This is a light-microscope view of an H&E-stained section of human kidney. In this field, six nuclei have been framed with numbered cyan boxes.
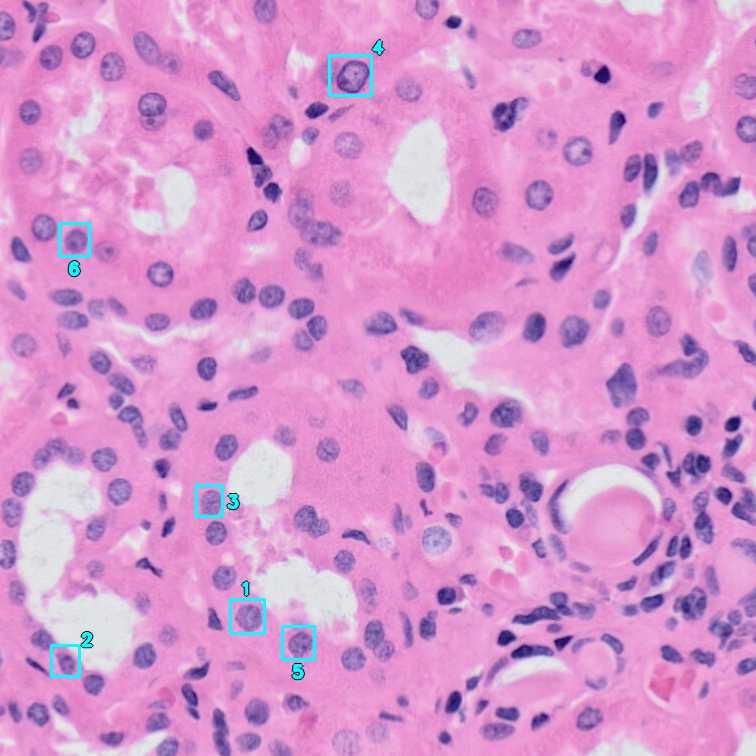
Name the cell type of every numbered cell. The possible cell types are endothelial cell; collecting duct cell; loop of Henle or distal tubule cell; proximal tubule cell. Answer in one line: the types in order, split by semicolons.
loop of Henle or distal tubule cell; loop of Henle or distal tubule cell; loop of Henle or distal tubule cell; proximal tubule cell; loop of Henle or distal tubule cell; proximal tubule cell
